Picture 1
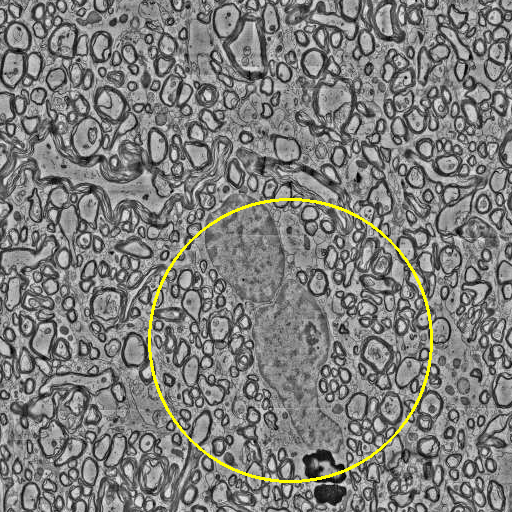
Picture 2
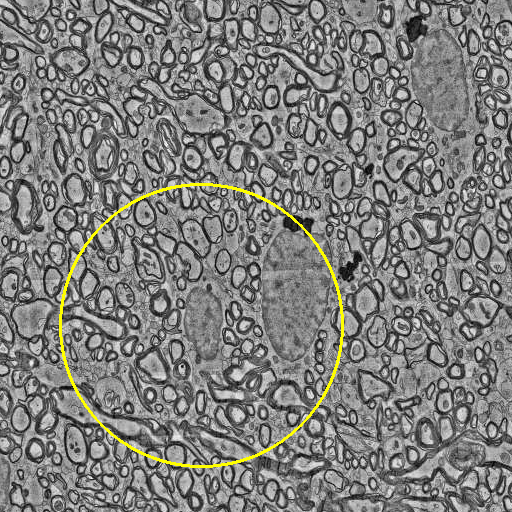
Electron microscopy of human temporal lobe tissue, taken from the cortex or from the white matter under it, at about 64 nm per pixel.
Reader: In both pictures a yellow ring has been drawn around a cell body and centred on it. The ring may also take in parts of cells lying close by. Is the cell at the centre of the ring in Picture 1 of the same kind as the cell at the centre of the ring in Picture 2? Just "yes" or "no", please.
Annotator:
yes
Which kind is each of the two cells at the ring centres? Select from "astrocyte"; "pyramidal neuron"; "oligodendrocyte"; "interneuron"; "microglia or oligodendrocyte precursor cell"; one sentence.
Each one of the two ringed cells is an oligodendrocyte.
